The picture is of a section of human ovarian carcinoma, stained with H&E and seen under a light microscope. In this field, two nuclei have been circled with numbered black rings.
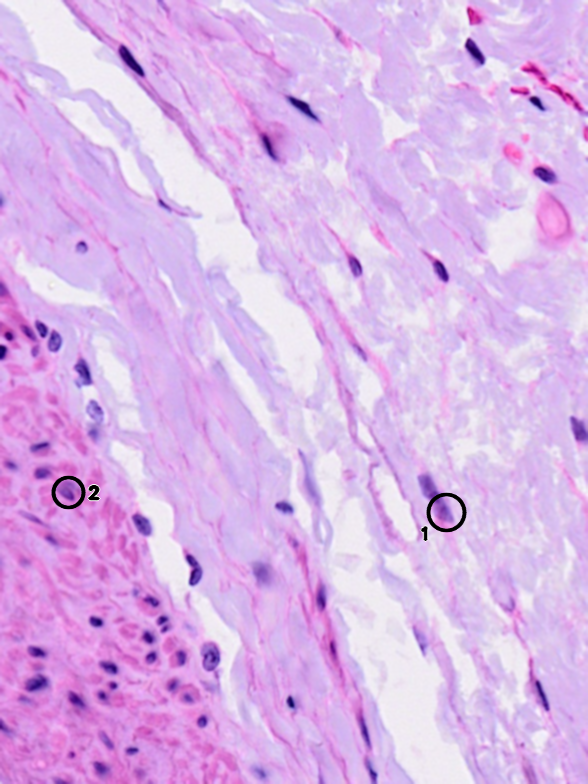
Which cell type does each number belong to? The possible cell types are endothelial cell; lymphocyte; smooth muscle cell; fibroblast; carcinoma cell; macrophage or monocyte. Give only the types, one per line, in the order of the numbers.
fibroblast
smooth muscle cell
